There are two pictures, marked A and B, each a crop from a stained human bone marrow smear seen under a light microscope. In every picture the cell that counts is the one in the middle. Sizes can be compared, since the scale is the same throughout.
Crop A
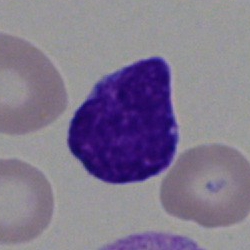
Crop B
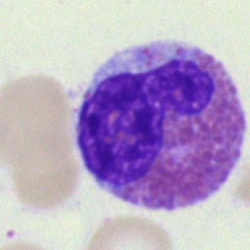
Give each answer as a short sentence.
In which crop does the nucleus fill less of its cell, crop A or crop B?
Of the two, the nucleus in crop B leaves more room for cytoplasm.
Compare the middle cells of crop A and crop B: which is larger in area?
Crop B holds the larger cell; it covers about 2 times the area of the cell in crop A.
